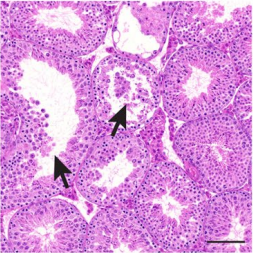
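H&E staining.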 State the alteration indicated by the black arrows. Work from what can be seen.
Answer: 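Germ cell sloughing. Rounded cells lie detached in the tubule lumens where the arrows point. The detached cells are not part of the epithelial lining.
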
